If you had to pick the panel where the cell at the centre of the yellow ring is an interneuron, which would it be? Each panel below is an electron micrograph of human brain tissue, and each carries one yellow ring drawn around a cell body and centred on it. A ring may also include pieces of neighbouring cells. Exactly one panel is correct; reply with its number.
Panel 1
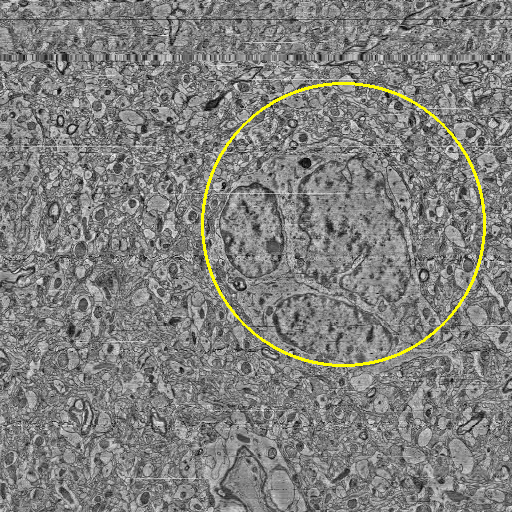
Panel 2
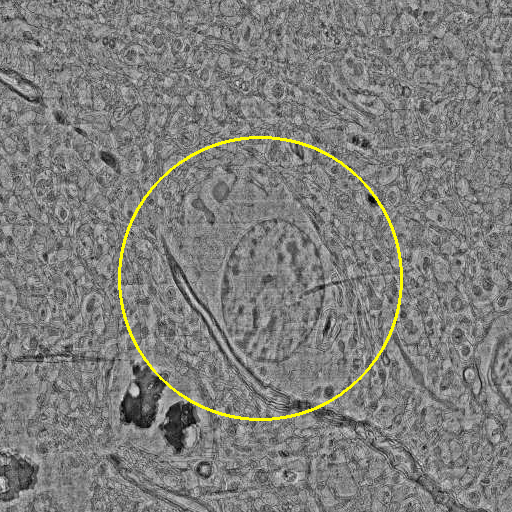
1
